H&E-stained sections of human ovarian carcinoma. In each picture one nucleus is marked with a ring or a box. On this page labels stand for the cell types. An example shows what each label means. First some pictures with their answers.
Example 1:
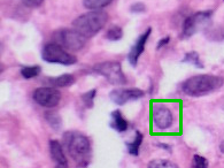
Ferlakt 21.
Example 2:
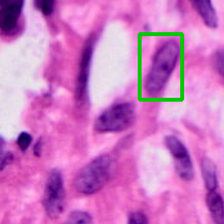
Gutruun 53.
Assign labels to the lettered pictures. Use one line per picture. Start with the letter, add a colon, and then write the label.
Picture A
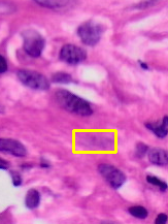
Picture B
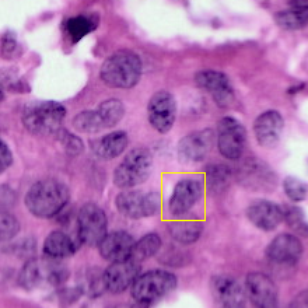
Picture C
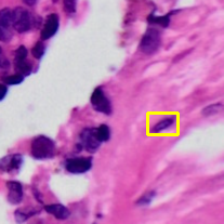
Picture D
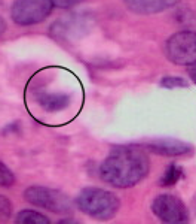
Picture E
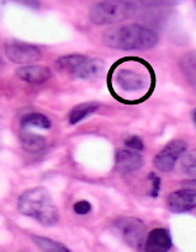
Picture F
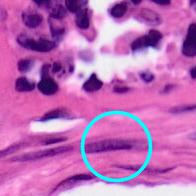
A: Gutruun 53.
B: Ferlakt 21.
C: Gutruun 53.
D: Ferlakt 21.
E: Ferlakt 21.
F: Gutruun 53.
